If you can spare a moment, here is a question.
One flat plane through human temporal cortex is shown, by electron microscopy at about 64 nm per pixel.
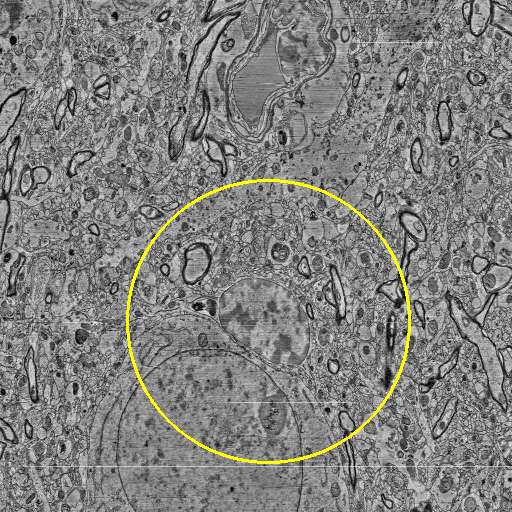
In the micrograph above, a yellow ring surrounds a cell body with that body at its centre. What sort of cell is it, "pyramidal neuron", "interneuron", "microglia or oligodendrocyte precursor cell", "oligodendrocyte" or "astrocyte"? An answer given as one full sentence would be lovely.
Centred inside the yellow ring, the cell body shown belongs to a microglial cell or oligodendrocyte precursor cell in this micrograph.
